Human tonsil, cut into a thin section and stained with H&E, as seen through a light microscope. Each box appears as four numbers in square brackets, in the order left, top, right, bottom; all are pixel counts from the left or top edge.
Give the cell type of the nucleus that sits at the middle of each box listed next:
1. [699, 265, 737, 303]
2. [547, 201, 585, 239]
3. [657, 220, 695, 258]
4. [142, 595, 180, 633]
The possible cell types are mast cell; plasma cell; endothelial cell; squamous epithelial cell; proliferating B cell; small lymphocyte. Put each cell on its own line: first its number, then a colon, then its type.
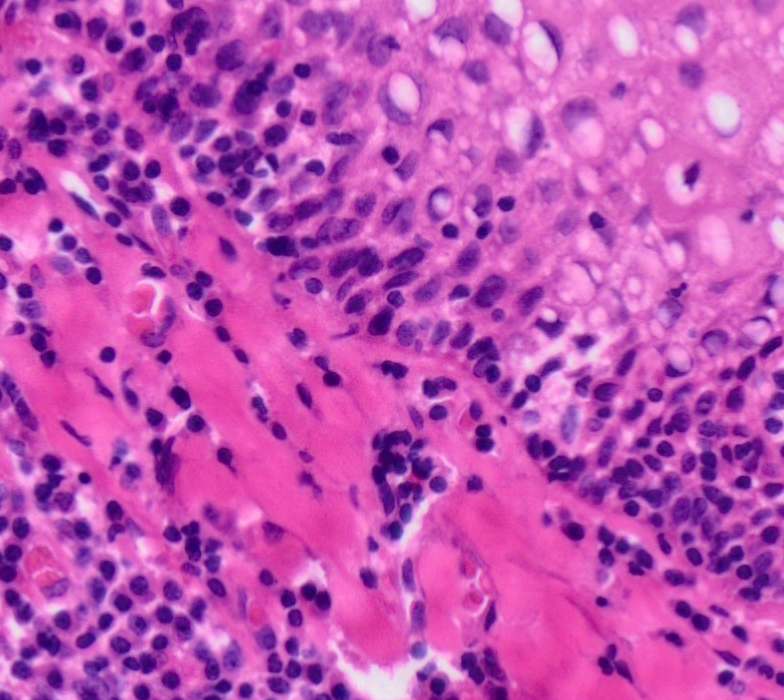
1: squamous epithelial cell
2: squamous epithelial cell
3: squamous epithelial cell
4: plasma cell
